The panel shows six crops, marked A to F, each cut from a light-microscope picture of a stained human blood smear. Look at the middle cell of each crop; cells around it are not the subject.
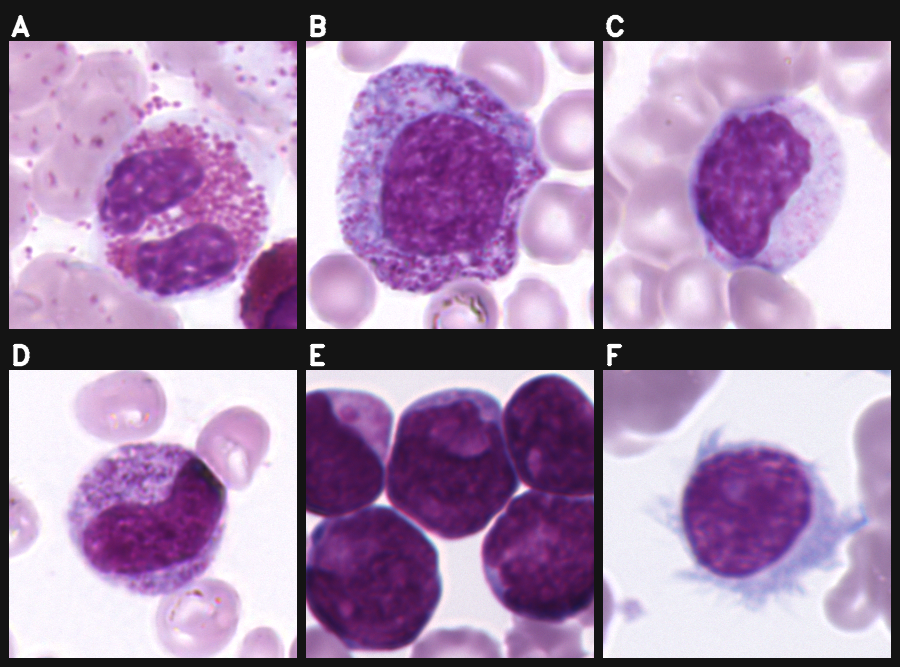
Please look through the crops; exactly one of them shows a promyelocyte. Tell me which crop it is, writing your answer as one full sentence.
Of the labeled crops, the one with a promyelocyte is crop B.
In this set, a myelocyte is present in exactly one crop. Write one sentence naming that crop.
The sole crop showing a myelocyte is crop C.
